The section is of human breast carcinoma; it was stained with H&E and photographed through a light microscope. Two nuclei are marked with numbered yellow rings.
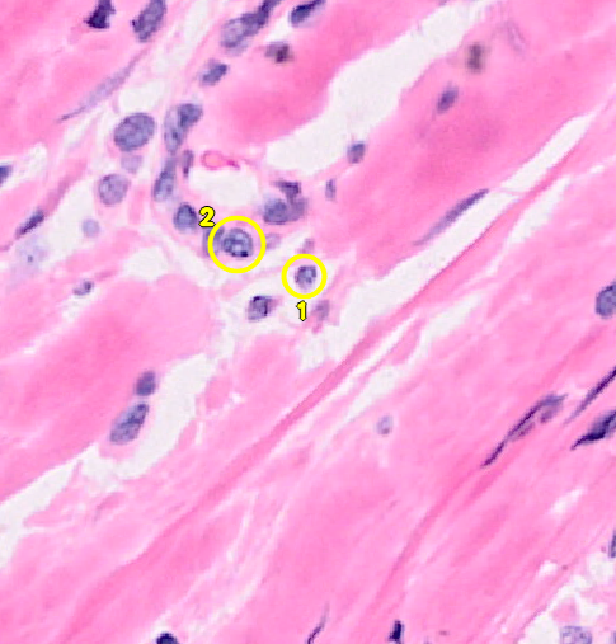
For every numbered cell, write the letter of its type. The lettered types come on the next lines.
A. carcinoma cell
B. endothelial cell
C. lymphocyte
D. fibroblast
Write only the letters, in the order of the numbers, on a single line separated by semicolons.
C; B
